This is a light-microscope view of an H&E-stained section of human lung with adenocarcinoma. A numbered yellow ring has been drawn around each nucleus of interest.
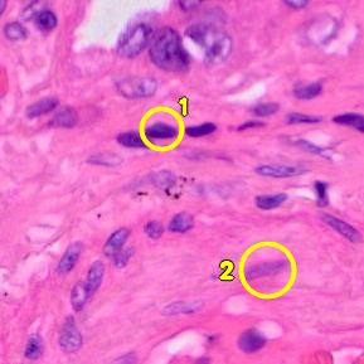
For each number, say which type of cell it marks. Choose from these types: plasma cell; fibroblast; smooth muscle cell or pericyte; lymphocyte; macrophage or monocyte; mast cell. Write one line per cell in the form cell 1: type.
cell 1: lymphocyte
cell 2: smooth muscle cell or pericyte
